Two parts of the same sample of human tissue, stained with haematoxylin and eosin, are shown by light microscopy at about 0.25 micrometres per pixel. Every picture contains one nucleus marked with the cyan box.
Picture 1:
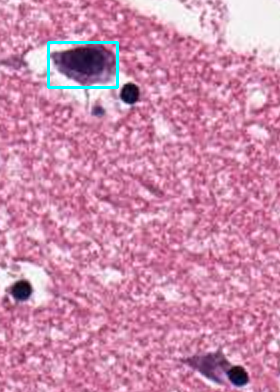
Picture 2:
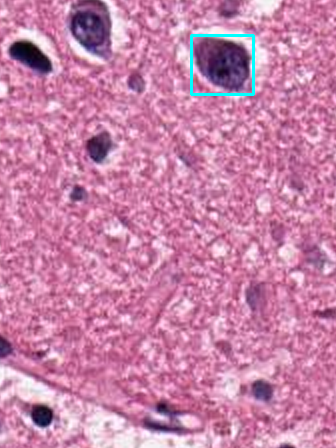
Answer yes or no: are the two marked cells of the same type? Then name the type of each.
Yes, both are neurons.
